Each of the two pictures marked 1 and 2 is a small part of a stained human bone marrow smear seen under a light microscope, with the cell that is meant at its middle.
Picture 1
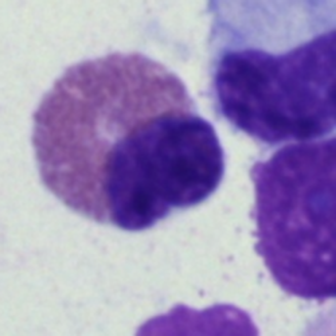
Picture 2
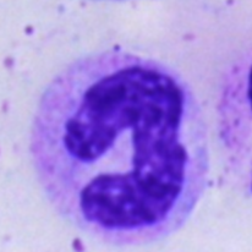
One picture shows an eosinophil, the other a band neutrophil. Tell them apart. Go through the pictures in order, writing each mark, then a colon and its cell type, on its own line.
1: eosinophil
2: band neutrophil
